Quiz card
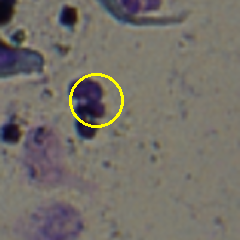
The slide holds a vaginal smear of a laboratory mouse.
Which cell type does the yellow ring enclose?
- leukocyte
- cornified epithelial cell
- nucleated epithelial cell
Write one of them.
leukocyte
